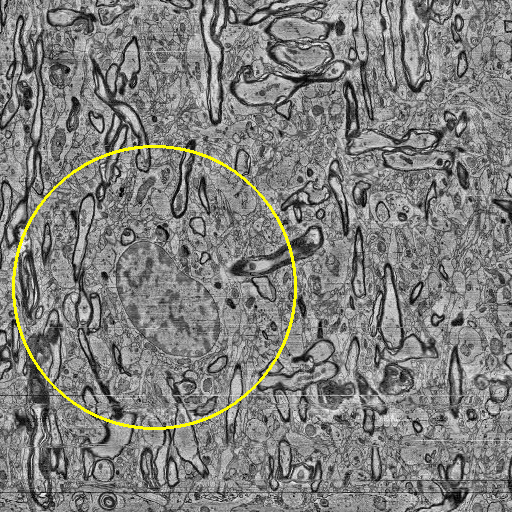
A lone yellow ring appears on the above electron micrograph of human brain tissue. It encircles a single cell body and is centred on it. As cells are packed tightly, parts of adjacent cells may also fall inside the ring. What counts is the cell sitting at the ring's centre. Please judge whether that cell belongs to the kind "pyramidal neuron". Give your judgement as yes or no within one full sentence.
No, the cell lying at the centre of the ring in the picture belongs to another kind.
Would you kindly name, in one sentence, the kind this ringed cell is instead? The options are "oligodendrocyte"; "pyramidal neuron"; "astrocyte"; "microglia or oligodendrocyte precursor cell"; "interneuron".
The cell circled by the yellow ring is a microglial cell or oligodendrocyte precursor cell.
